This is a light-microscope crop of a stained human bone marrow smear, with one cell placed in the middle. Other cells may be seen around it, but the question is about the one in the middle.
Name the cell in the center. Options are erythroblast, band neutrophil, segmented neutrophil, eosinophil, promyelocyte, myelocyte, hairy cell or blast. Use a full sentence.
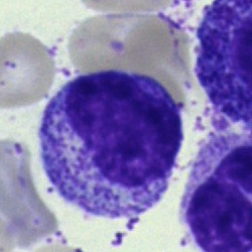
This crop has a myelocyte at its centre.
